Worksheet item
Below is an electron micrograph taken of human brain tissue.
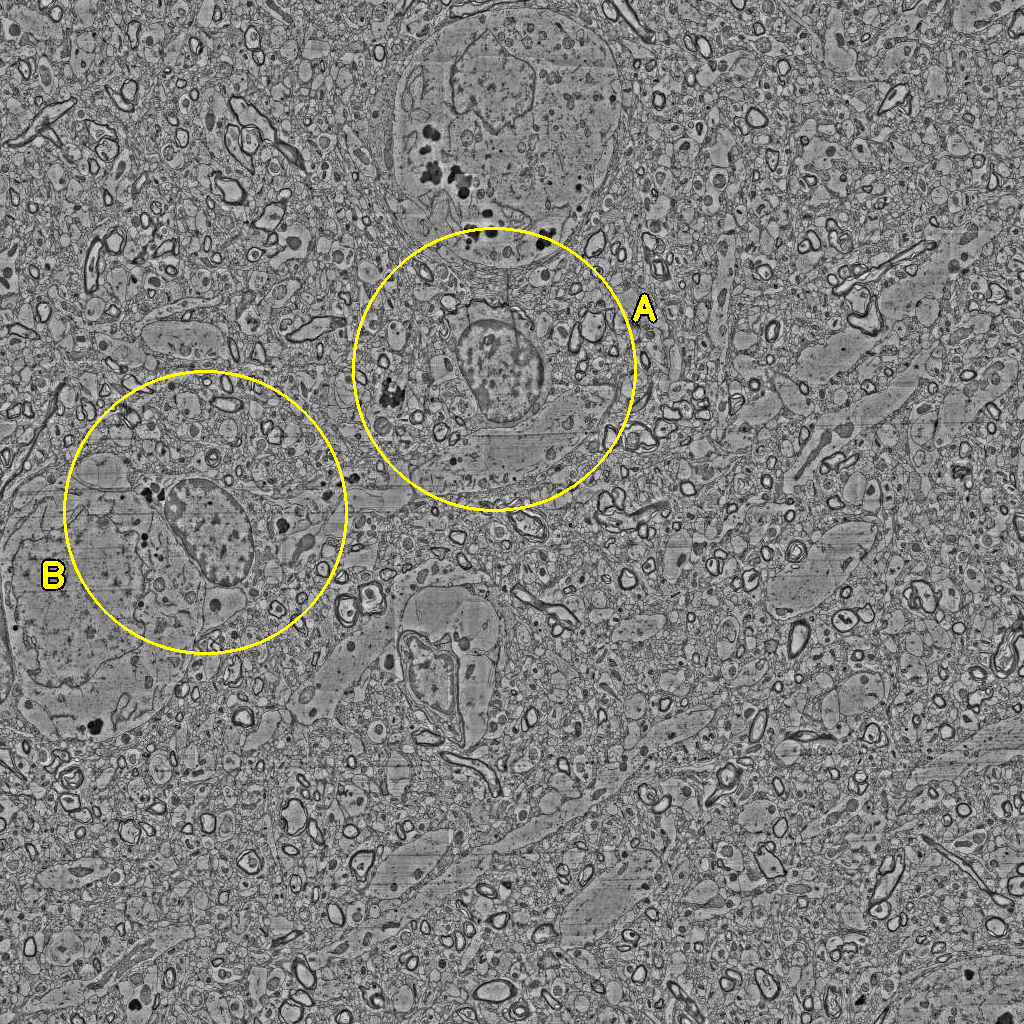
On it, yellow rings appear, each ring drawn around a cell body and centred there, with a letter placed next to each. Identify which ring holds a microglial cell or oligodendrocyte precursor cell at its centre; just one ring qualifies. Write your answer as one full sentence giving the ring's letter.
Ring B has the cell asked for right at its centre in the picture.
